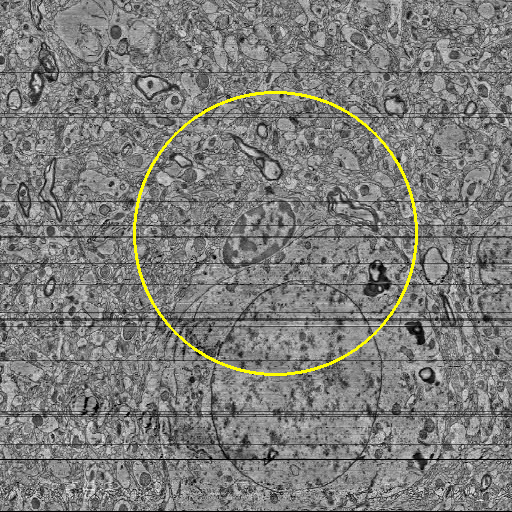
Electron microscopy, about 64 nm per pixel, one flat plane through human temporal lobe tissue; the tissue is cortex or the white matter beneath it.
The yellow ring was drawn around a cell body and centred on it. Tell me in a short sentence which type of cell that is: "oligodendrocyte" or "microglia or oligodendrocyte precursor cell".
The cell at the ring's centre is a microglial cell or oligodendrocyte precursor cell.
